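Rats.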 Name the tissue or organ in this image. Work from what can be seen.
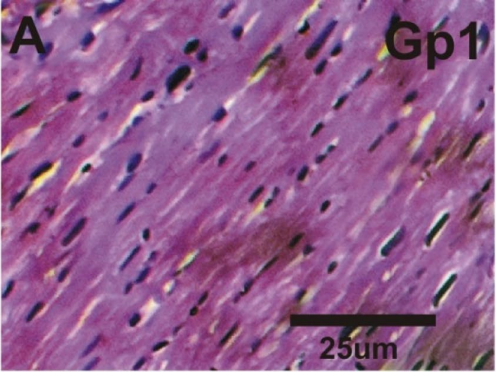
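Long, pink-purple muscle fibres run in parallel. Elongated, centrally placed oval nuclei lie along the fibres. Fibres are closely packed with only narrow clefts between them. So: Heart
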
